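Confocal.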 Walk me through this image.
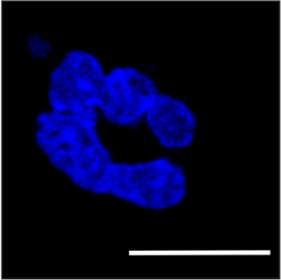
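A single polymorphonuclear leukocyte is shown with its nucleus stained blue. The nucleus is divided into several rounded lobes arranged in a curved, ring-like chain, and no magenta dots are seen in or around the cell.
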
